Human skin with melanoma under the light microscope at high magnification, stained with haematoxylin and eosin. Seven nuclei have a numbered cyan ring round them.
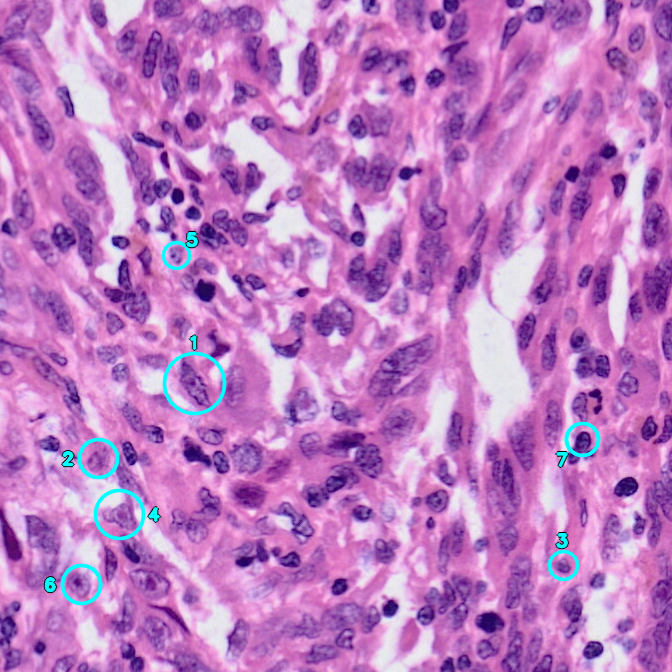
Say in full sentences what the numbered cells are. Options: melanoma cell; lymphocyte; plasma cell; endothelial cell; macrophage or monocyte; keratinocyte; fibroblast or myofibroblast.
Cells 1, 2, 4 and 6 are melanoma cells. Cells 3, 5 and 7 are lymphocytes.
